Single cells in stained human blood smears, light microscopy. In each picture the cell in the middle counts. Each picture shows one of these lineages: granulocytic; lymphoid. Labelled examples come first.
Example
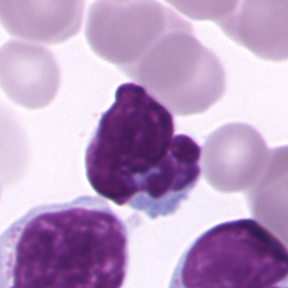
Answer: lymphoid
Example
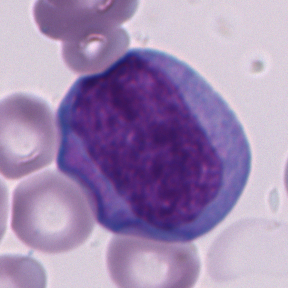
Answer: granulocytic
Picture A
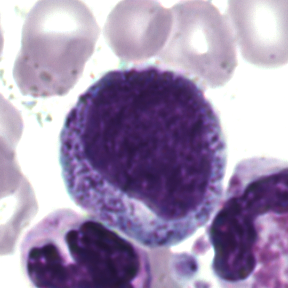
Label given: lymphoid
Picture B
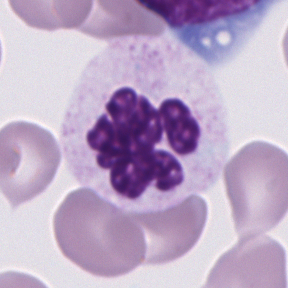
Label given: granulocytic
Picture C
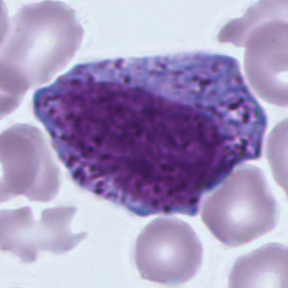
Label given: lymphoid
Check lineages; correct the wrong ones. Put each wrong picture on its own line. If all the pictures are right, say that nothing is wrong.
A is labelled lymphoid; correct label: granulocytic
C is labelled lymphoid; correct label: granulocytic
